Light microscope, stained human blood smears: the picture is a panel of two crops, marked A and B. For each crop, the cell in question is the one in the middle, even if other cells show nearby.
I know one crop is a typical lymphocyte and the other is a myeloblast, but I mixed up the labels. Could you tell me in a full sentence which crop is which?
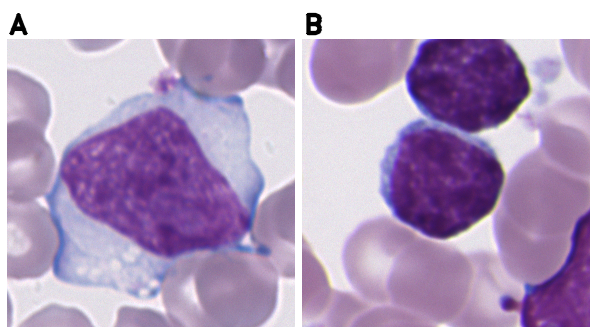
Crop A contains a myeloblast, and crop B contains a typical lymphocyte.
